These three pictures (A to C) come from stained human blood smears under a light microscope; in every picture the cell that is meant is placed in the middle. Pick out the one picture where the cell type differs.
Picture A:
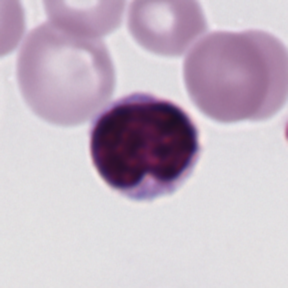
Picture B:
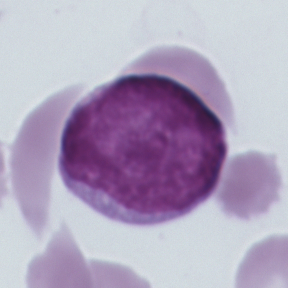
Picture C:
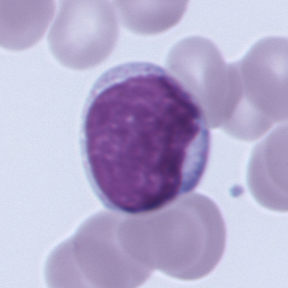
B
